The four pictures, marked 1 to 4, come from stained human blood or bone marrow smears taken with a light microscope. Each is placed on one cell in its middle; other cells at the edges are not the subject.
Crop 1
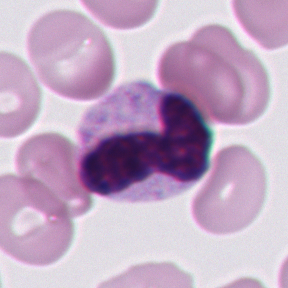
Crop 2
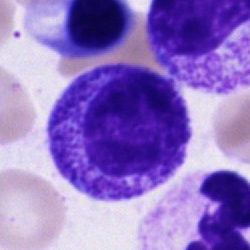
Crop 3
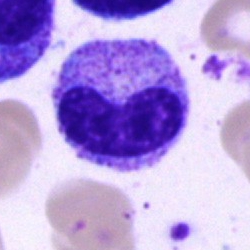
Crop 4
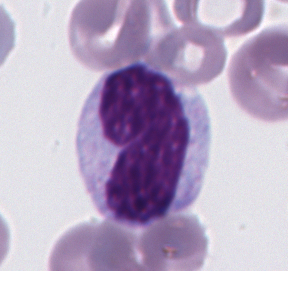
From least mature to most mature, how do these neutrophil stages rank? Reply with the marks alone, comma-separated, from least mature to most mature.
2, 3, 4, 1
